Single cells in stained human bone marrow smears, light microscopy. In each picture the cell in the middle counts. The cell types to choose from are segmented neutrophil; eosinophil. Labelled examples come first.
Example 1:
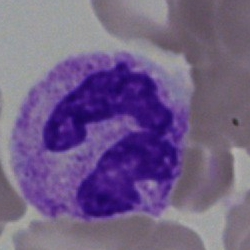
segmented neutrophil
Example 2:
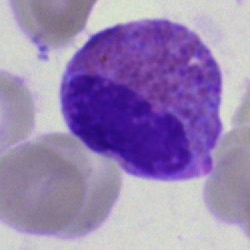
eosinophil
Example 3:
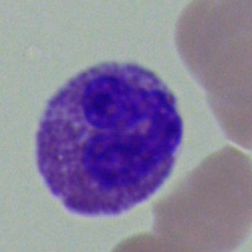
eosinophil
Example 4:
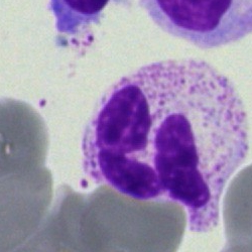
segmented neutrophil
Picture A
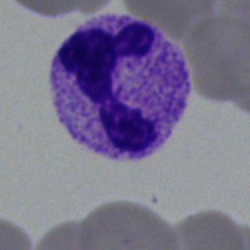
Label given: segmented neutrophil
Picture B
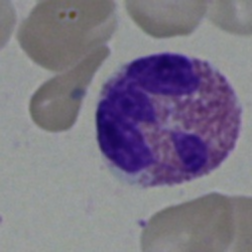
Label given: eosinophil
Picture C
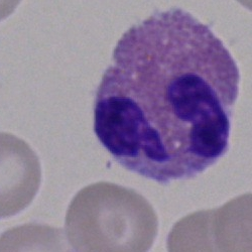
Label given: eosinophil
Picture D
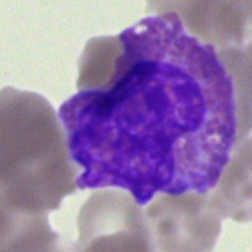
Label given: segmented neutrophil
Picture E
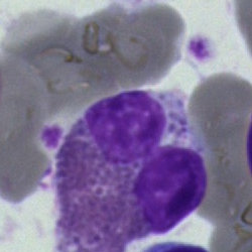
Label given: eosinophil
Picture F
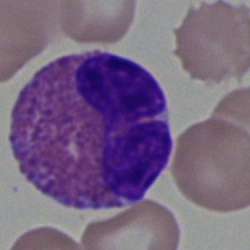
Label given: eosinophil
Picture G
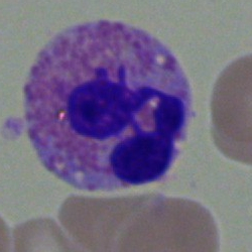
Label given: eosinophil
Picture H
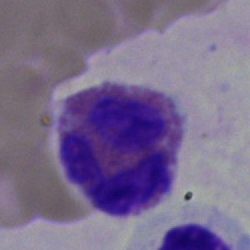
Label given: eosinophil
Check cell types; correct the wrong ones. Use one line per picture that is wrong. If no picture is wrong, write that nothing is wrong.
Wrong: D (segmented neutrophil); correct: eosinophil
